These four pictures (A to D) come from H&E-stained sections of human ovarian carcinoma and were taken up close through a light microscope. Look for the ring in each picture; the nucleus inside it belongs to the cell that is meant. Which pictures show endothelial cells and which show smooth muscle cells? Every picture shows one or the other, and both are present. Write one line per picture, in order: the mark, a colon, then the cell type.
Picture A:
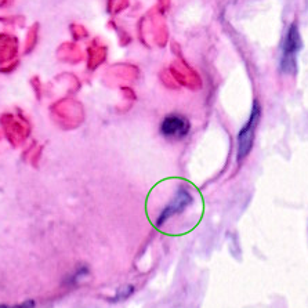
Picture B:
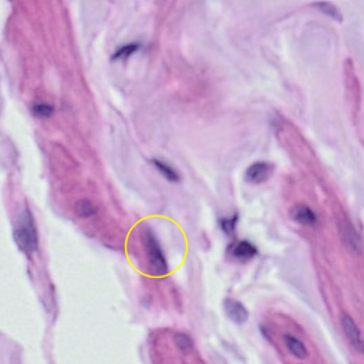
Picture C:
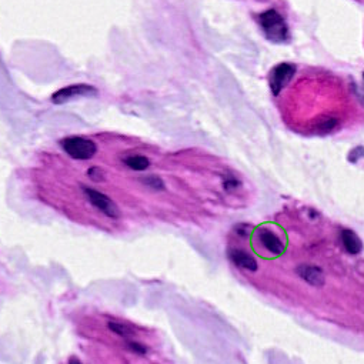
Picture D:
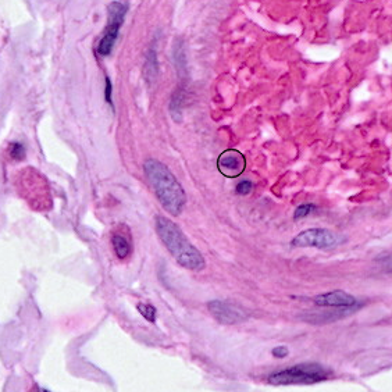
A: endothelial cell
B: smooth muscle cell
C: smooth muscle cell
D: endothelial cell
